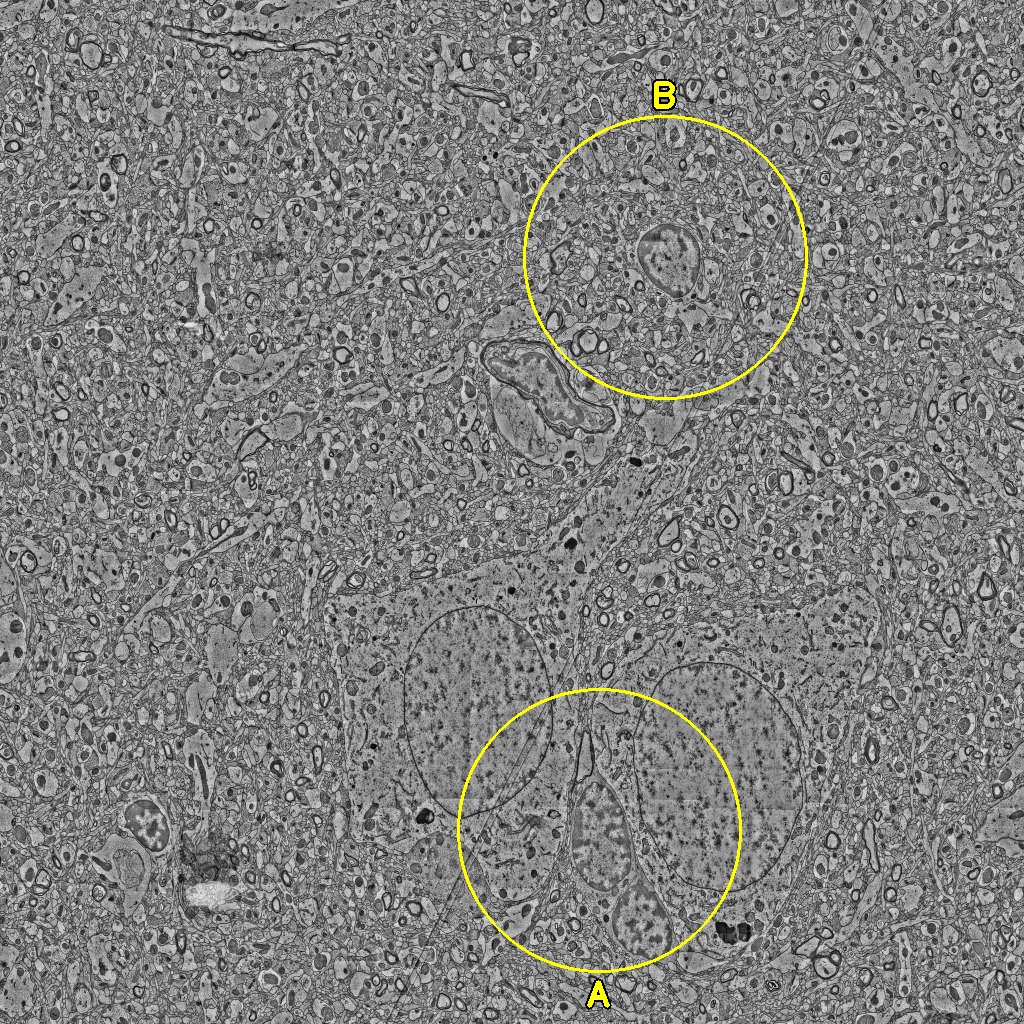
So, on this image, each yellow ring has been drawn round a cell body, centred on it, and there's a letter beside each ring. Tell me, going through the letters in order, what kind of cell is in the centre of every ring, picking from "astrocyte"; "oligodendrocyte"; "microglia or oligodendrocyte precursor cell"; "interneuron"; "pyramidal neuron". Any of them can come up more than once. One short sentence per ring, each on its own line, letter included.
Ring A has been drawn round an oligodendrocyte.
Ring B has been drawn round a microglial cell or oligodendrocyte precursor cell.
